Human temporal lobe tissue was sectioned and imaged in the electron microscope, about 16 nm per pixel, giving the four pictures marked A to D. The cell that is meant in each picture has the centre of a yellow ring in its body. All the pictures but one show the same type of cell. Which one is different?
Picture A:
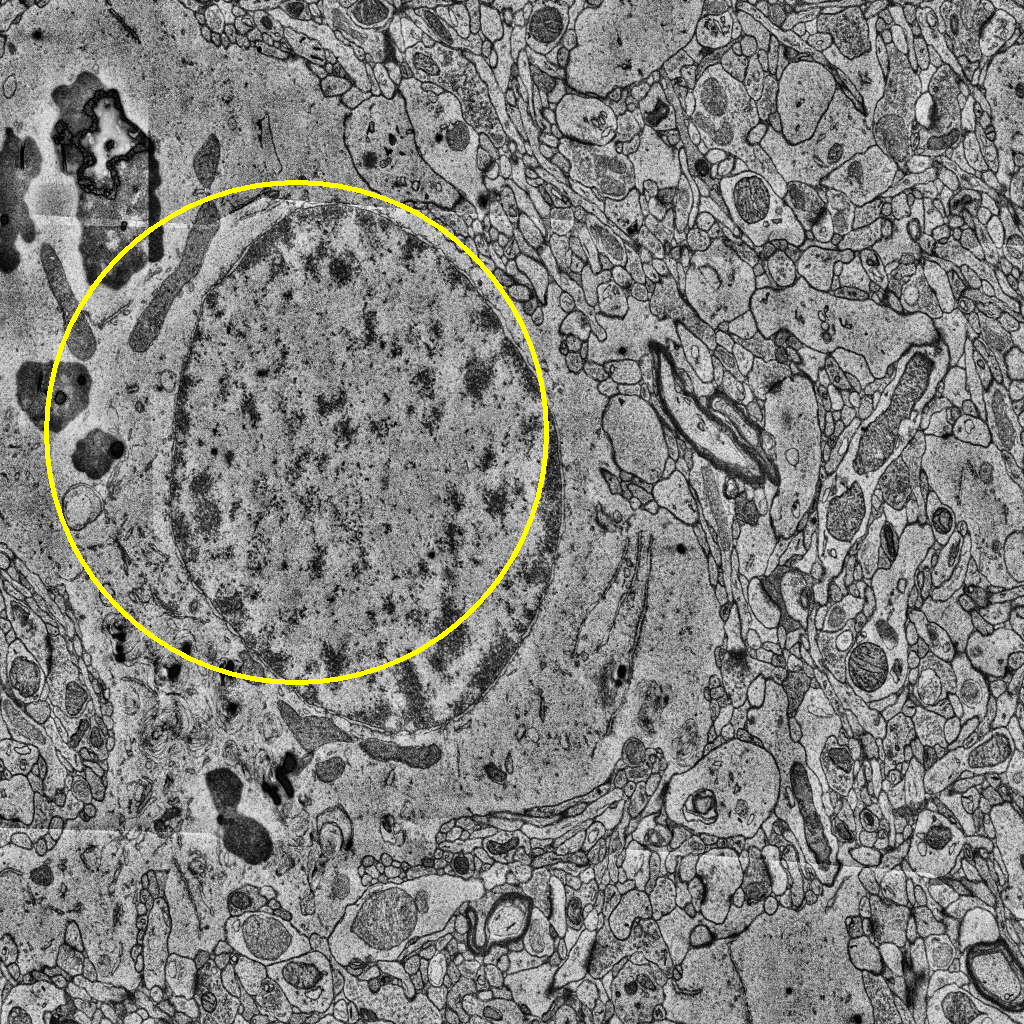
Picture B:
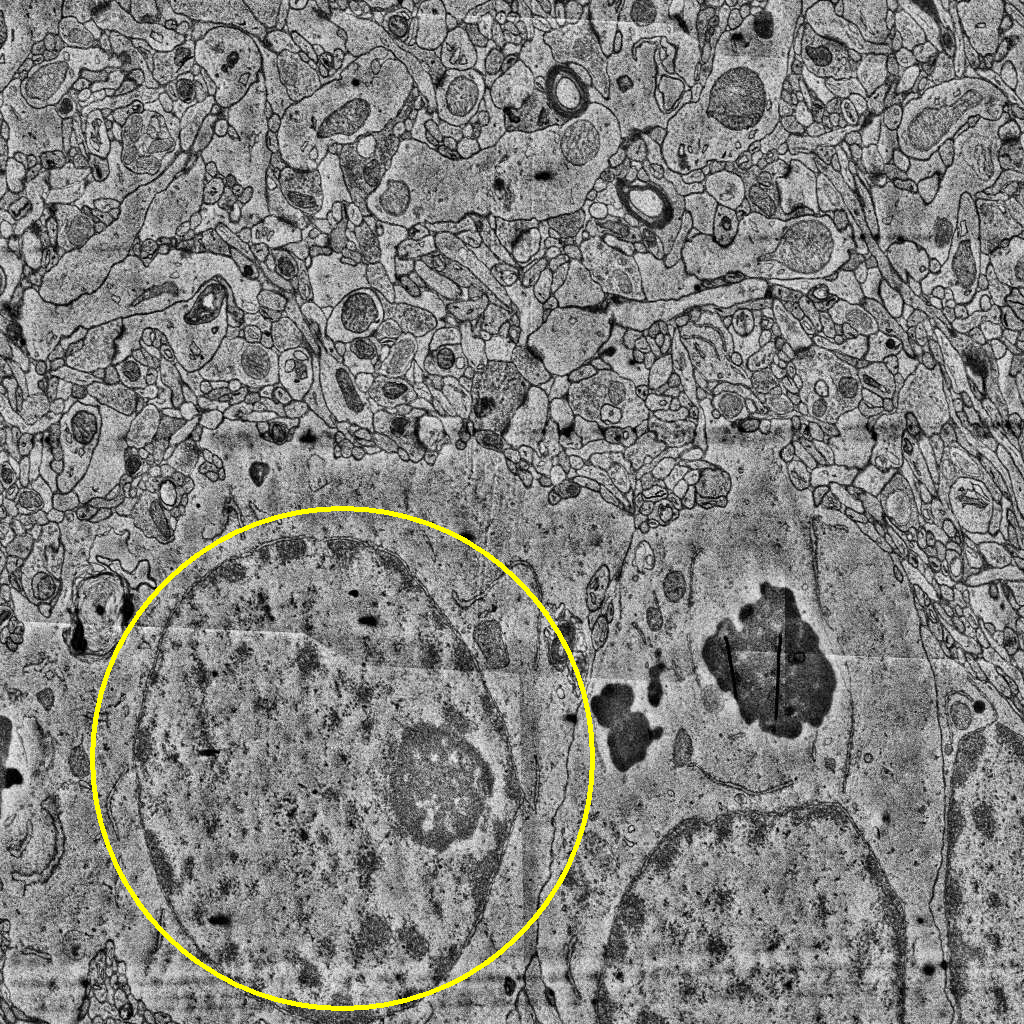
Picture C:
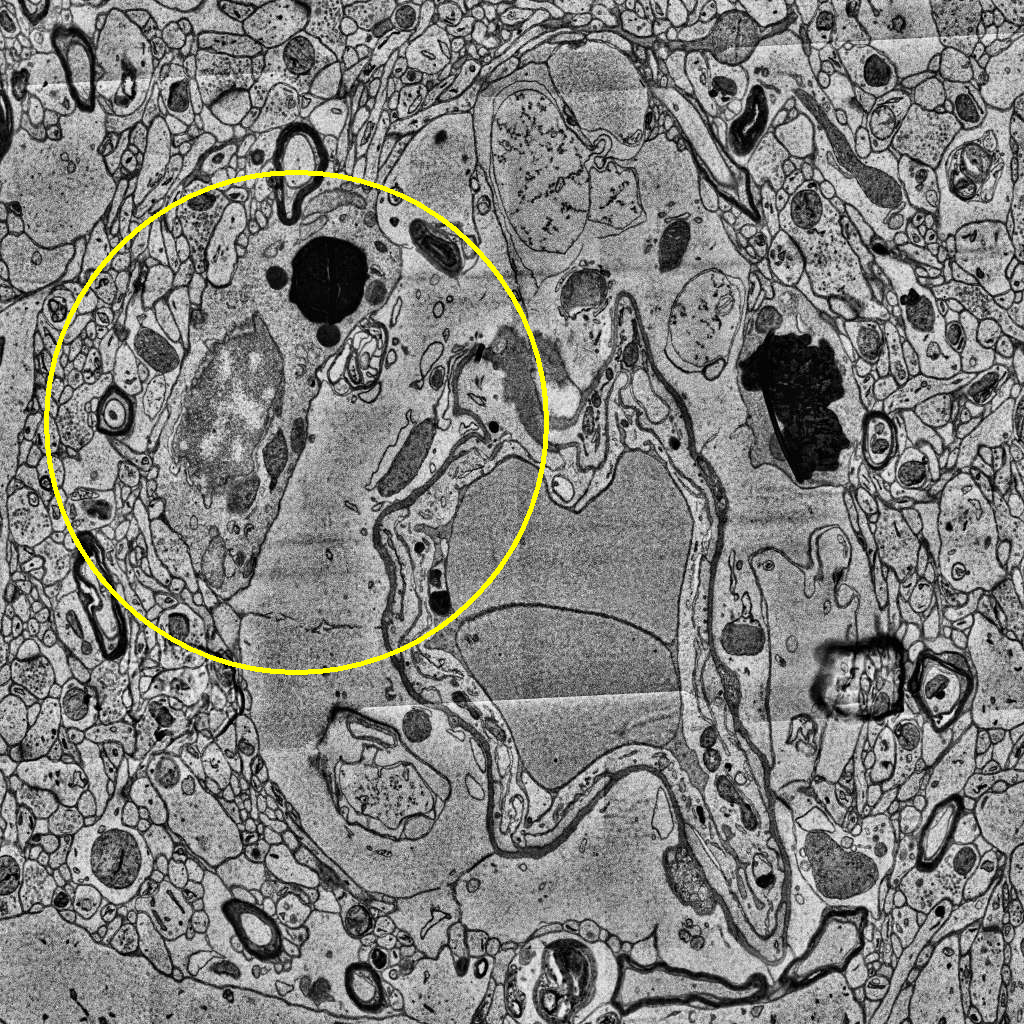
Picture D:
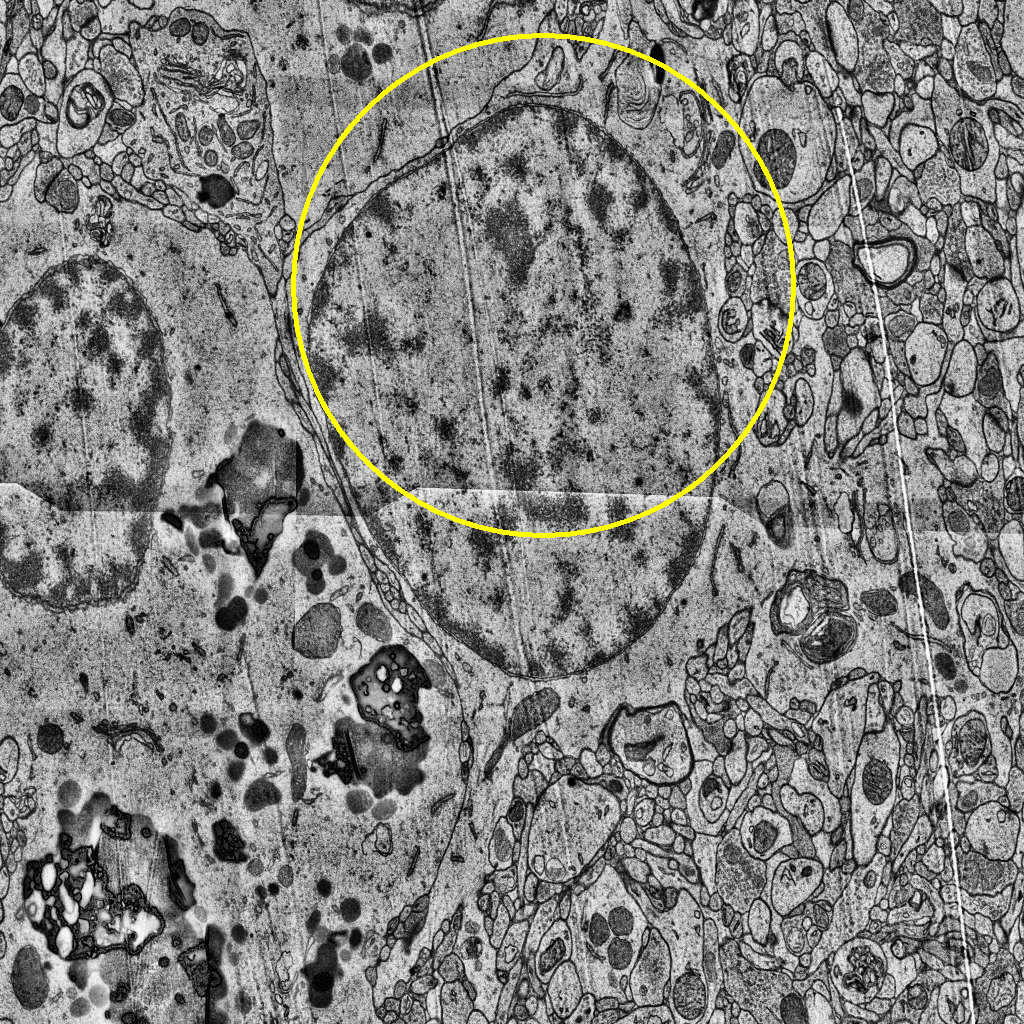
Picture C differs, because its cell is an oligodendrocyte and the rest are astrocytes.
